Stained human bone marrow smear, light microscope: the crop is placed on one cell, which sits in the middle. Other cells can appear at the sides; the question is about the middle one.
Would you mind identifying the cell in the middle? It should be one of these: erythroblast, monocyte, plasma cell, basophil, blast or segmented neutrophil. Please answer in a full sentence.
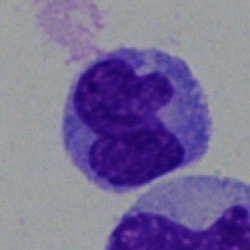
The cell at the central position in this crop is a monocyte.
